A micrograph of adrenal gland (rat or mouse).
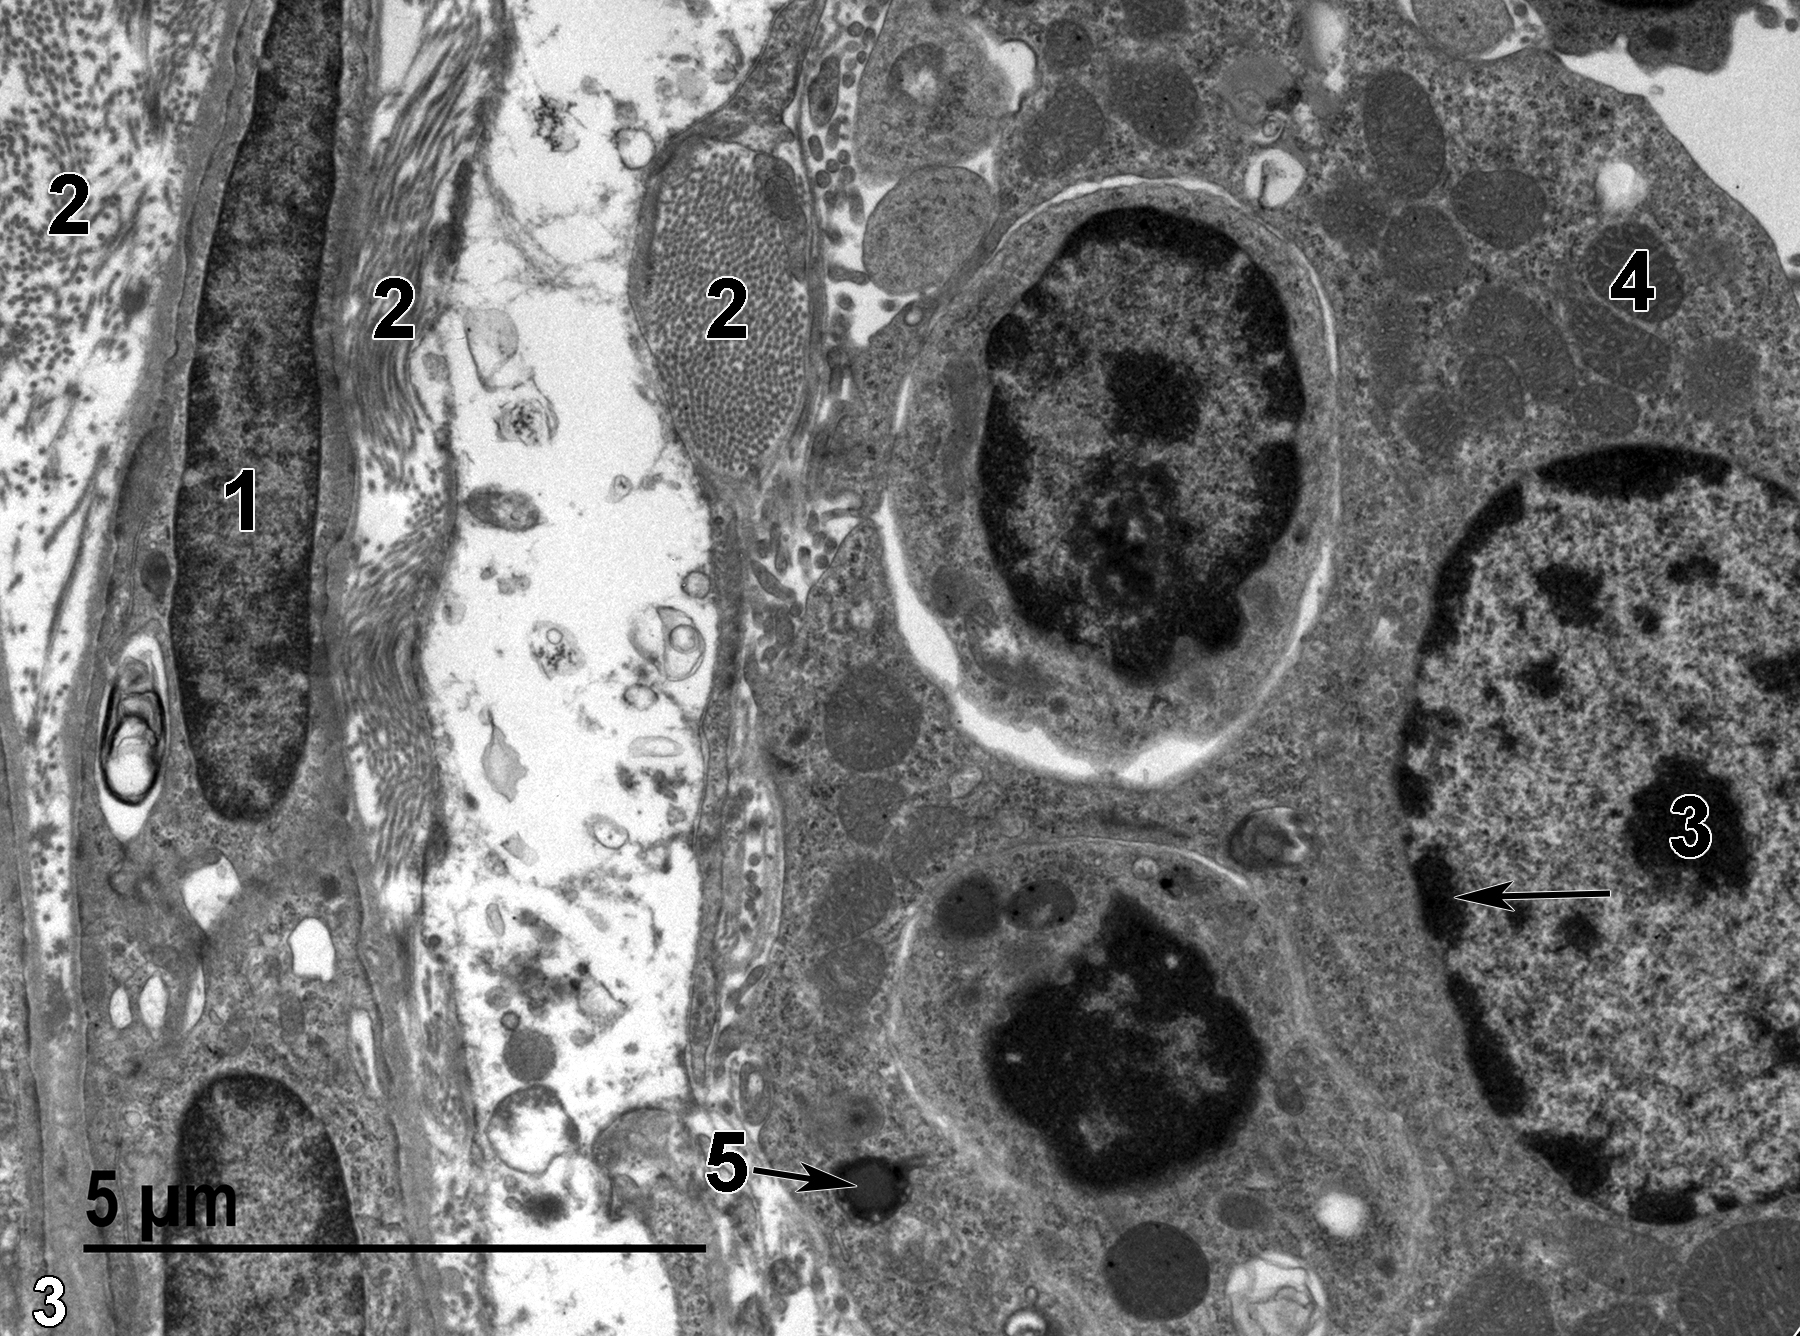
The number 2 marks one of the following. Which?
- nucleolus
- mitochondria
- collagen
collagen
